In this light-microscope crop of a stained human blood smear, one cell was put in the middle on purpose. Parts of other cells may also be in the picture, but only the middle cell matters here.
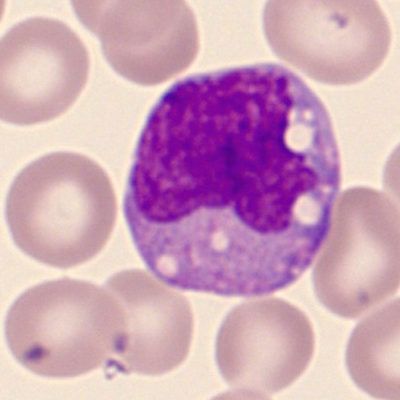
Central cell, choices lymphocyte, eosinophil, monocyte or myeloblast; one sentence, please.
In this crop, the cell at the very middle is a monocyte.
